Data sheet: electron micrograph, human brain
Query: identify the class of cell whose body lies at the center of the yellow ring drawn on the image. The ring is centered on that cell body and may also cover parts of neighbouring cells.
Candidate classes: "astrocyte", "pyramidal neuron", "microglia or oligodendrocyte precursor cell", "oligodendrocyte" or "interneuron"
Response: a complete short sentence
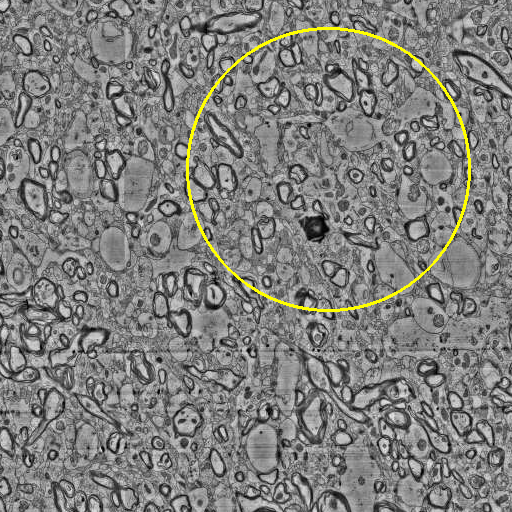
At the center of the ring lies a microglial cell or oligodendrocyte precursor cell.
